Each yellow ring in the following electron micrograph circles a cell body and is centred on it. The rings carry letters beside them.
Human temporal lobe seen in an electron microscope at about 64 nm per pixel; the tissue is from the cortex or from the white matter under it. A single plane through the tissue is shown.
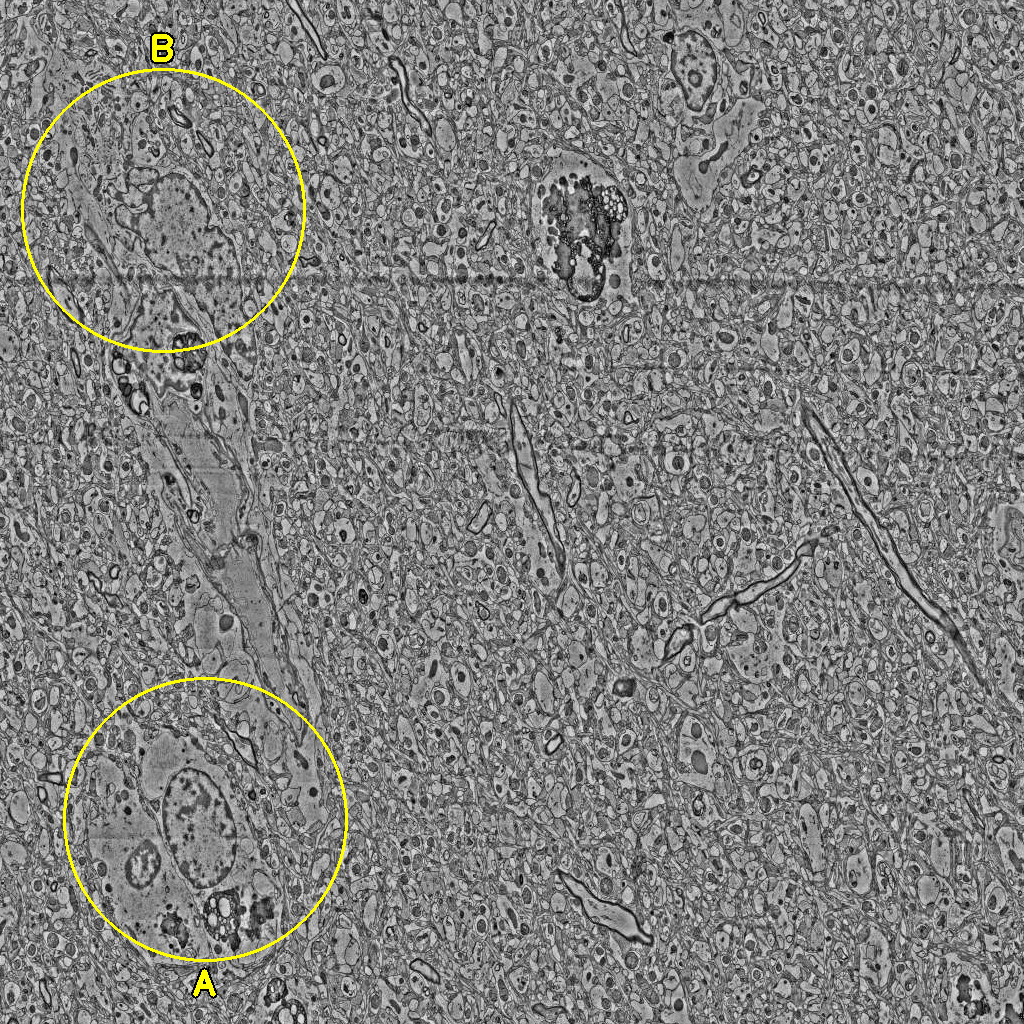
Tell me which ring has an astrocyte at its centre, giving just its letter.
A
